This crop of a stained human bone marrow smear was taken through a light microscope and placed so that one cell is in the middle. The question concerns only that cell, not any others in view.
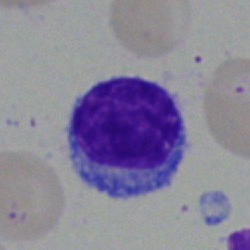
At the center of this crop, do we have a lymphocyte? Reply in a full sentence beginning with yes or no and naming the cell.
Yes, this crop has a lymphocyte at its centre.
